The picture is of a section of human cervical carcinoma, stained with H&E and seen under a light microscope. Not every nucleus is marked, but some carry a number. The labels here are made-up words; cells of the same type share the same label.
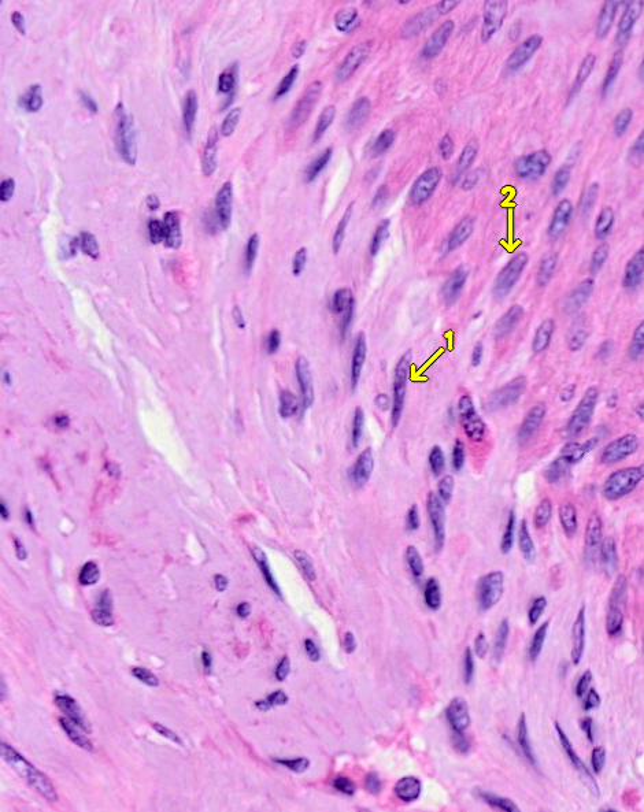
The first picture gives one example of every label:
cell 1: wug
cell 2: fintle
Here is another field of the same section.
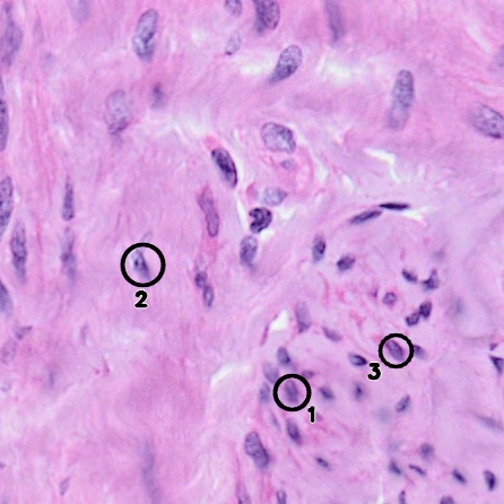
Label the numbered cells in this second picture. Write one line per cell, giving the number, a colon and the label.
1: fintle
2: wug
3: fintle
